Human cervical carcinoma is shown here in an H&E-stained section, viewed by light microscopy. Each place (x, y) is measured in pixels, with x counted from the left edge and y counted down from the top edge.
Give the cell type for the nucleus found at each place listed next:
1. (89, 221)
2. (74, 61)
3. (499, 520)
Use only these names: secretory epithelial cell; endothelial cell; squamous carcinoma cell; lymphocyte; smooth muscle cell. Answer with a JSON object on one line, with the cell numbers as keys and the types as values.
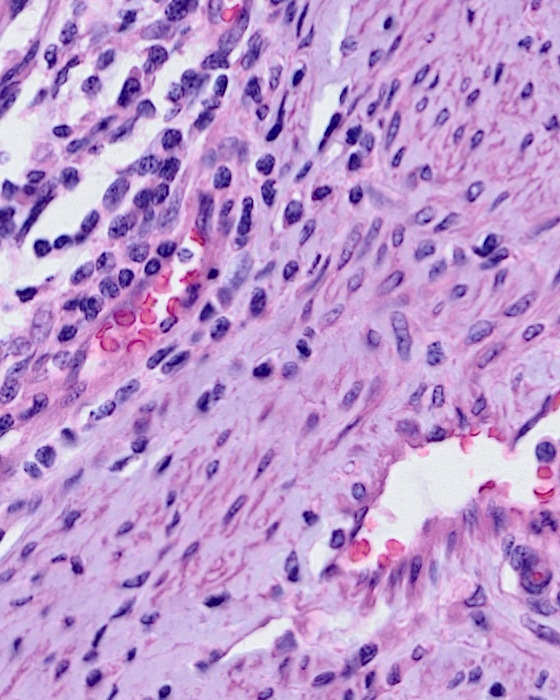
{"1": "lymphocyte", "2": "lymphocyte", "3": "endothelial cell"}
